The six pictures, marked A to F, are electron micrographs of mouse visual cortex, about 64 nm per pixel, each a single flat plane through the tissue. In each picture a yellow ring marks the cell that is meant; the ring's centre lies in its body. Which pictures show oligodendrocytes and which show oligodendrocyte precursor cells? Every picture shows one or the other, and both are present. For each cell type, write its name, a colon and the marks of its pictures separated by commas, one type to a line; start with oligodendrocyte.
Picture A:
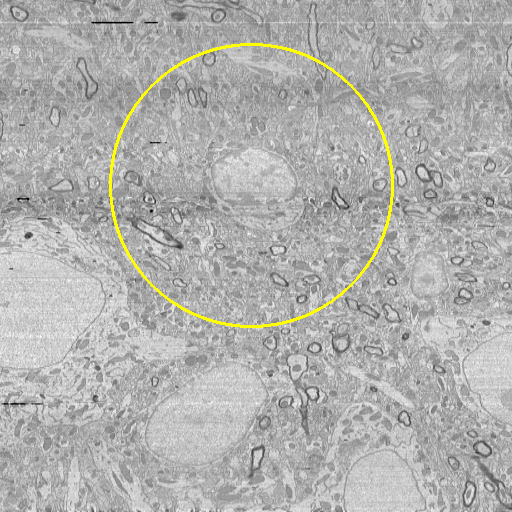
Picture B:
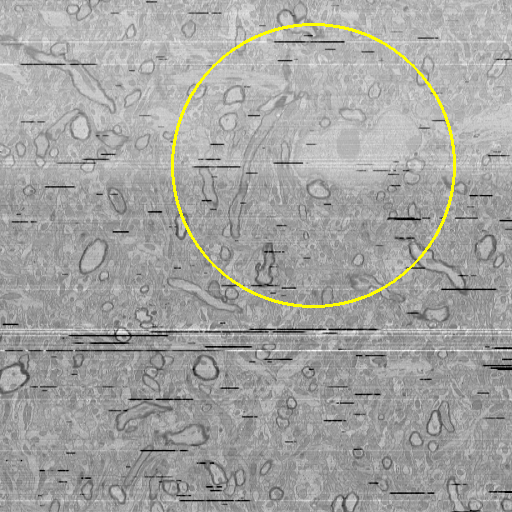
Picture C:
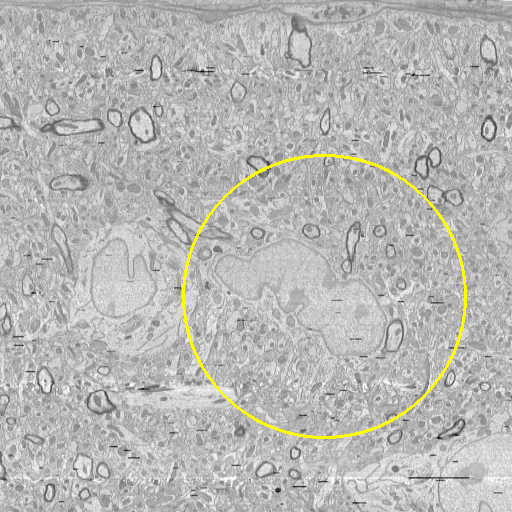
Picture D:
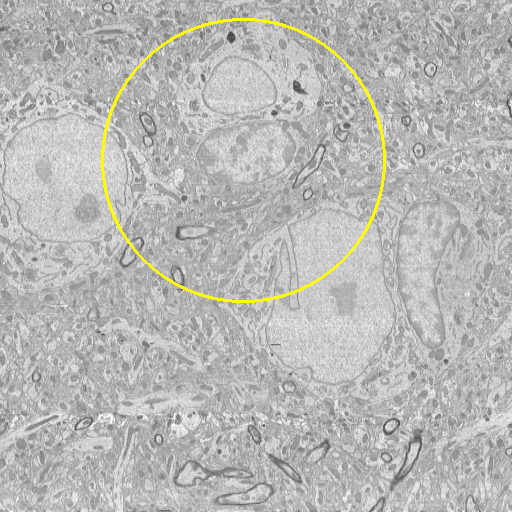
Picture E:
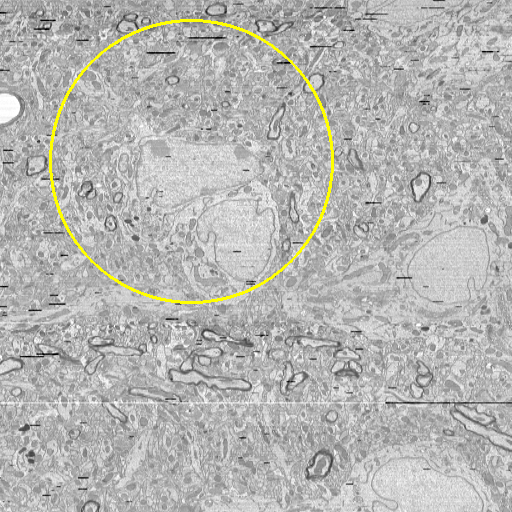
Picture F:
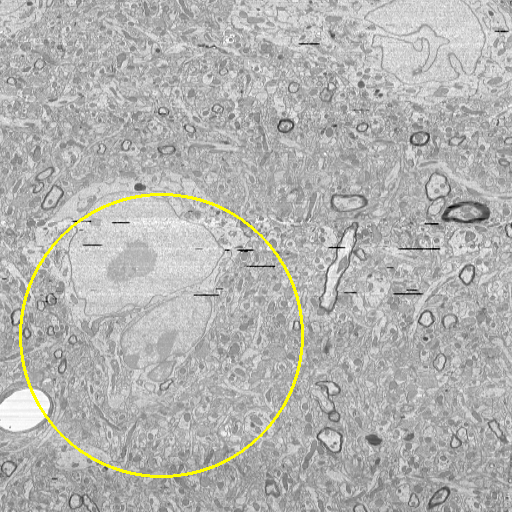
oligodendrocyte: A, D
oligodendrocyte precursor cell: B, C, E, F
